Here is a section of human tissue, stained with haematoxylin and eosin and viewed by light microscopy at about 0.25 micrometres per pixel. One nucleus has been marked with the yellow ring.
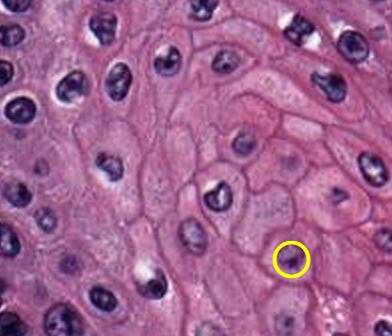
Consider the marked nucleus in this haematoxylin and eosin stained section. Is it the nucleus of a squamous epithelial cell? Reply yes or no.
yes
